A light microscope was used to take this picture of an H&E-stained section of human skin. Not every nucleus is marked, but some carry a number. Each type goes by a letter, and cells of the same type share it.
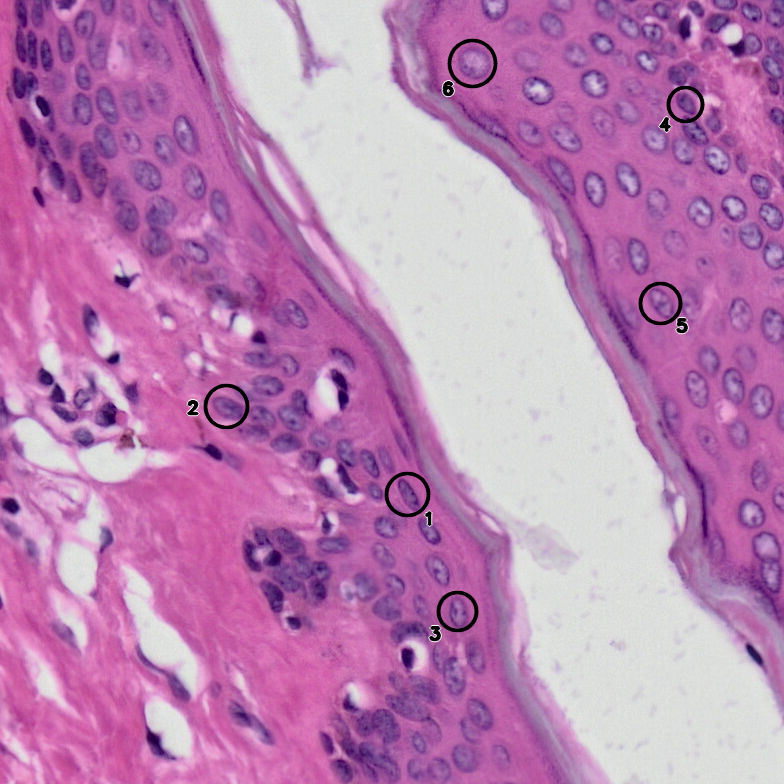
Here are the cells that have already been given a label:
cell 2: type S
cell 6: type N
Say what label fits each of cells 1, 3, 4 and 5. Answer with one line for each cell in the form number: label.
1: type N
3: type N
4: type S
5: type N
